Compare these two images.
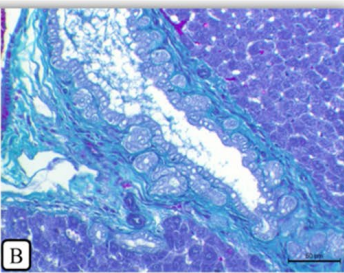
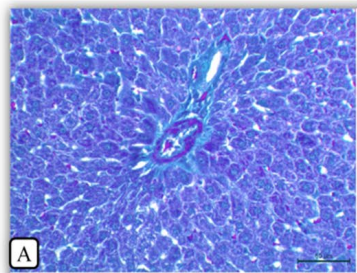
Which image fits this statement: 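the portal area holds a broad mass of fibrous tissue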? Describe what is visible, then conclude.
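First image: a wide blue-green fibrous zone fills much of the field around ducts and a vessel. Second image: only a thin blue-green collar surrounds the central vessel amid hepatocytes.
Answer: the first image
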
